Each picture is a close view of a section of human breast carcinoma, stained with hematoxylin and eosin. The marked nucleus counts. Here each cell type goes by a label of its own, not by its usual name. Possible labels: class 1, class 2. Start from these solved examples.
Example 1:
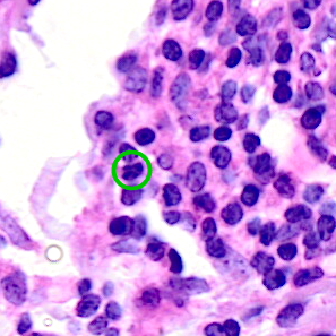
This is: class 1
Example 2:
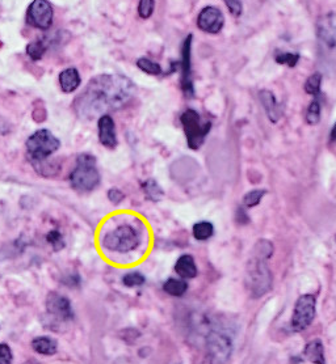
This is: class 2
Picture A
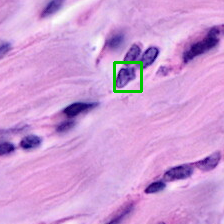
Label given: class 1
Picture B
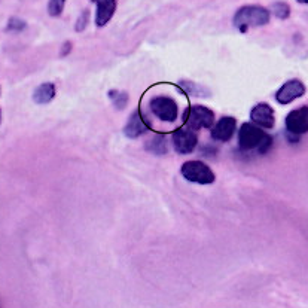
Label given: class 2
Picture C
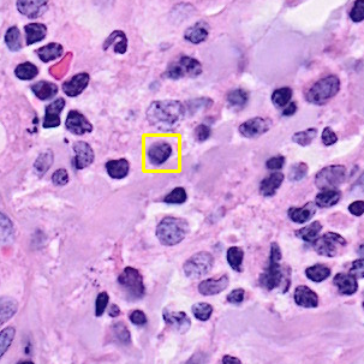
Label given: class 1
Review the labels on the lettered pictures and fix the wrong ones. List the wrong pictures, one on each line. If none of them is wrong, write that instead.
Wrong: B (class 2); correct: class 1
